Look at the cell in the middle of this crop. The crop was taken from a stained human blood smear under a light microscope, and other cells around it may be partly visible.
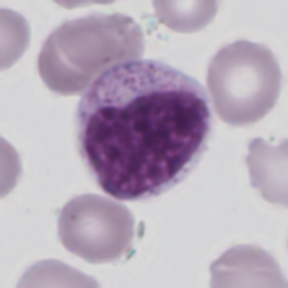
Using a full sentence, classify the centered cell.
Here the cell in the middle is a metamyelocyte.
